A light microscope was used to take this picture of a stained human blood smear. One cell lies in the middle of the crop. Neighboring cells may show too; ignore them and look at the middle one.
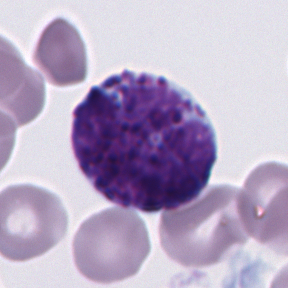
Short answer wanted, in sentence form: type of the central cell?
The identification for the central cell is a basophil.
